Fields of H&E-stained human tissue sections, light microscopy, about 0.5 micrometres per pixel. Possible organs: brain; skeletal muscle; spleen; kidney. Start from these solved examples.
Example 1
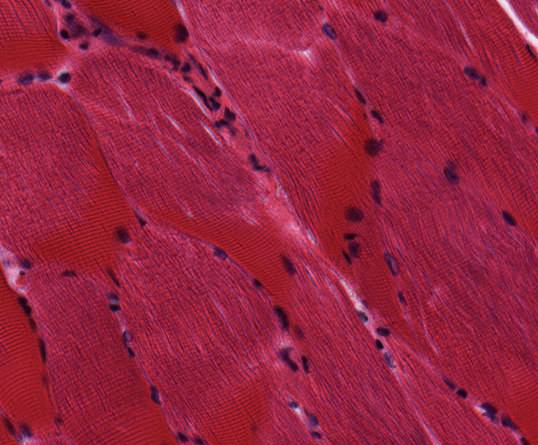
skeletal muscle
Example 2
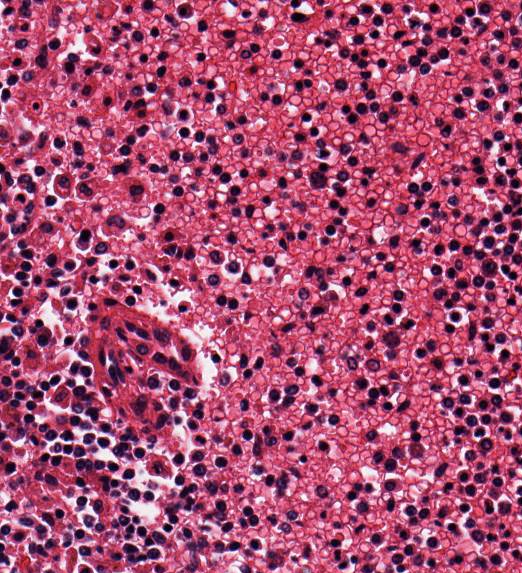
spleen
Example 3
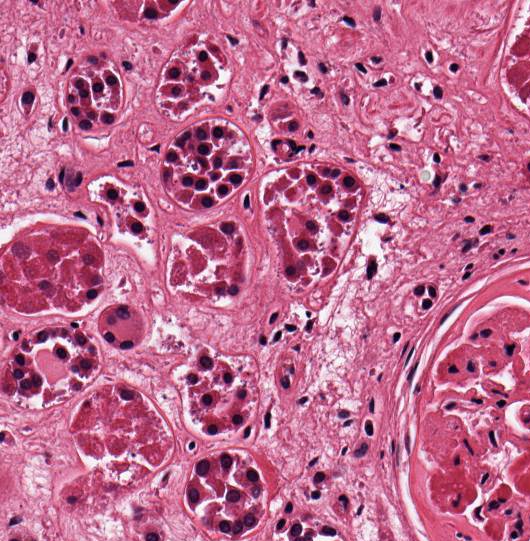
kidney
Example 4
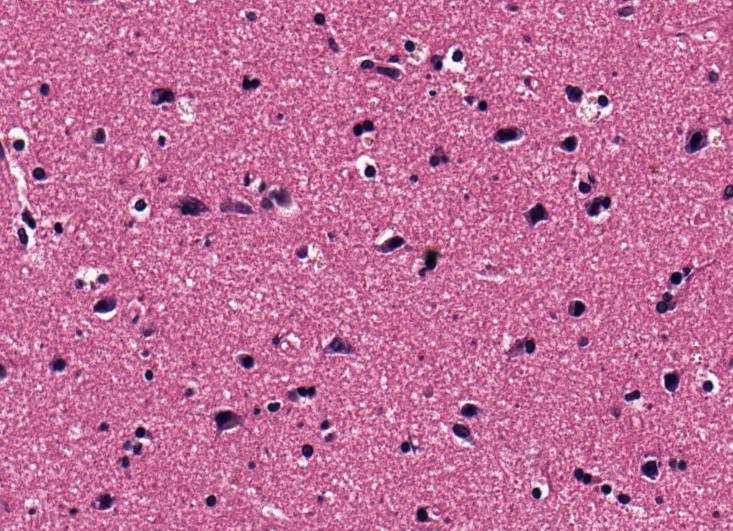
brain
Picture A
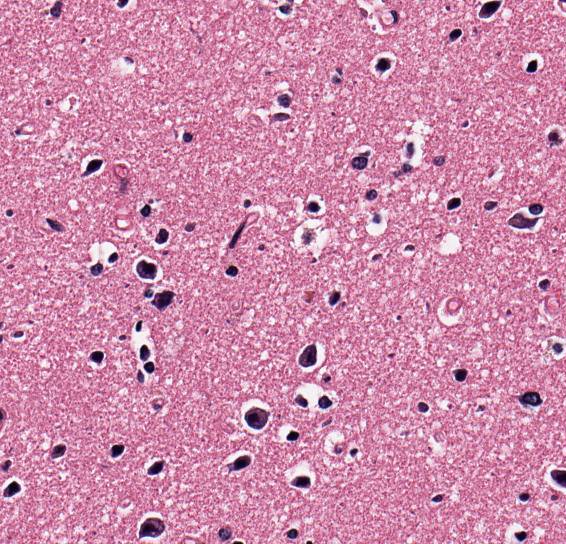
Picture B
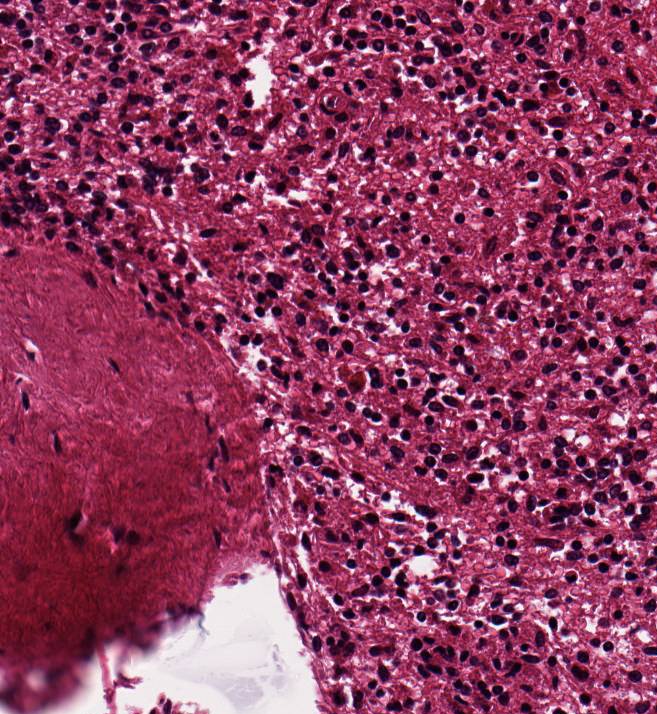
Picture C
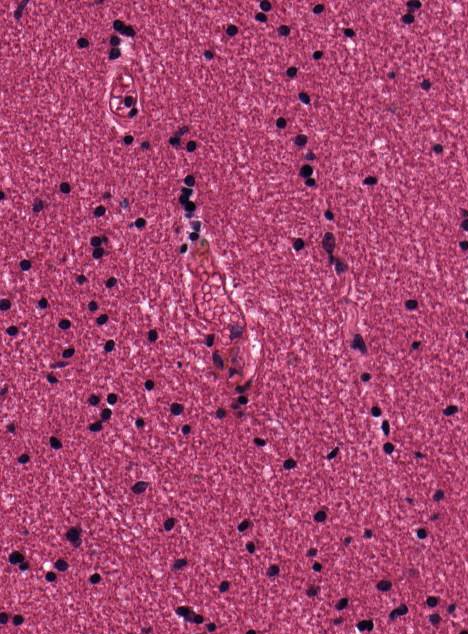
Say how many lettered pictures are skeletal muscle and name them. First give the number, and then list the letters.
0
